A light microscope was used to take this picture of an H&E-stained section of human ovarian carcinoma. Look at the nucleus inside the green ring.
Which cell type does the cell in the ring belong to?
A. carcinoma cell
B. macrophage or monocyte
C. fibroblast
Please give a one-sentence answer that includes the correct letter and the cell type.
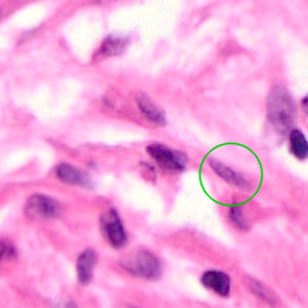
Option C describes the cell in the ring accurately as a fibroblast.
